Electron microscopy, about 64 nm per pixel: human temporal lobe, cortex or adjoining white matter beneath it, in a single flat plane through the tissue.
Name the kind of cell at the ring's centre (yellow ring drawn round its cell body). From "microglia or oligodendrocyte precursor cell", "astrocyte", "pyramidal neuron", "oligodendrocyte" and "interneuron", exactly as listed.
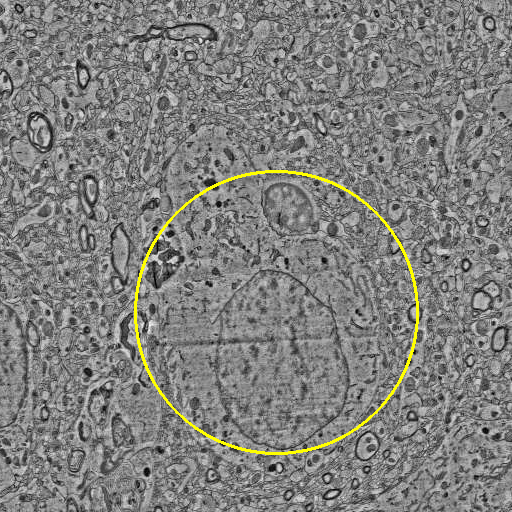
pyramidal neuron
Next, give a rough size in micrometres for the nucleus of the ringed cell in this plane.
The nucleus appears roughly 11 by 8 micrometres in this plane.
